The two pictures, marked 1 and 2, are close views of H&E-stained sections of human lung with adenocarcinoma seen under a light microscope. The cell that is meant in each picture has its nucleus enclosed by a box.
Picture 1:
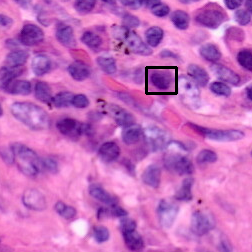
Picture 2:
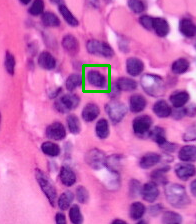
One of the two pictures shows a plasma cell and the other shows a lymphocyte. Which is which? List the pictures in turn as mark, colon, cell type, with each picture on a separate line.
1: plasma cell
2: lymphocyte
